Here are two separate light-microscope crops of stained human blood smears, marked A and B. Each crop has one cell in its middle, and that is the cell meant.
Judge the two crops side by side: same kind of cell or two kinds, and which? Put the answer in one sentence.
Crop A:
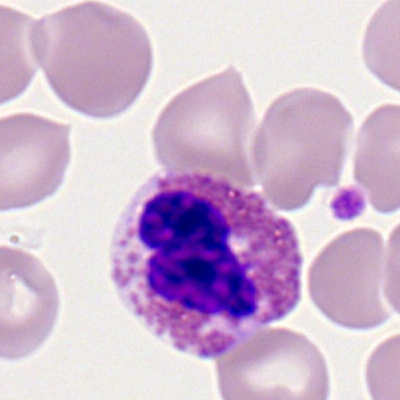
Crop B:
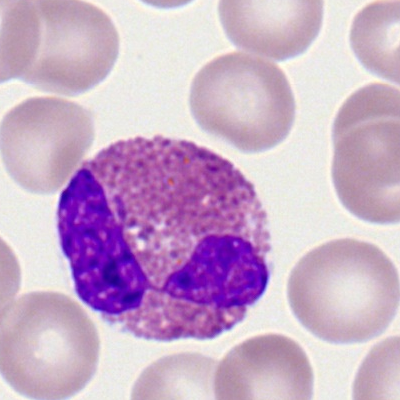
Yes, eosinophils occupy the centre of both crops.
